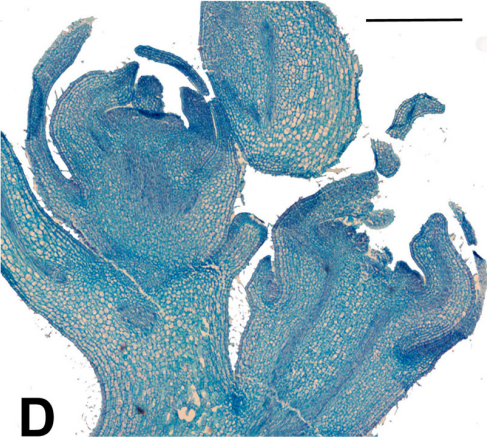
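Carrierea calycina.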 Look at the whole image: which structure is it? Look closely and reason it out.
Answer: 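Developing flower. Rounded primordia made of small, densely stained cells. Thin organs curving over the rounded primordia.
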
